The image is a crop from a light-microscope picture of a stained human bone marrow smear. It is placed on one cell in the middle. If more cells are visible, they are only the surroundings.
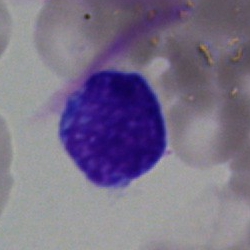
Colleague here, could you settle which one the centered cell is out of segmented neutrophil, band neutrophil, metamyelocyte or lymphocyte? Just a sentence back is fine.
The cell around which this crop is centred is a lymphocyte.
